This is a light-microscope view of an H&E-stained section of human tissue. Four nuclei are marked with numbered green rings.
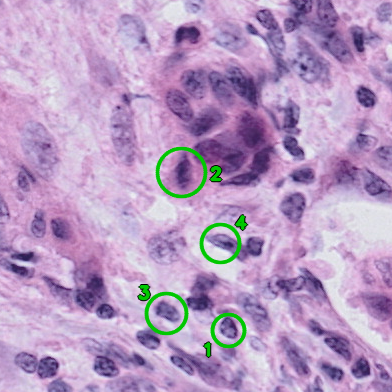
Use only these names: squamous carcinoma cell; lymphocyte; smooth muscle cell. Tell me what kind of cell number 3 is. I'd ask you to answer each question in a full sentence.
The cell with the number 3 is a lymphocyte.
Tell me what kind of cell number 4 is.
Here, the cell given the number 4 is a lymphocyte.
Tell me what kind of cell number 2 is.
It is as a squamous carcinoma cell that the cell numbered 2 is identified.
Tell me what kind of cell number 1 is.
The numbered cell 1 is identified here as a lymphocyte.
